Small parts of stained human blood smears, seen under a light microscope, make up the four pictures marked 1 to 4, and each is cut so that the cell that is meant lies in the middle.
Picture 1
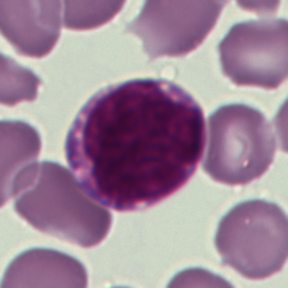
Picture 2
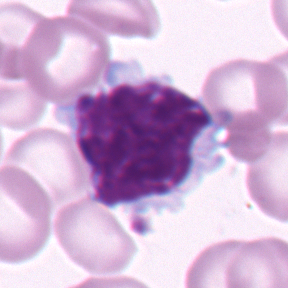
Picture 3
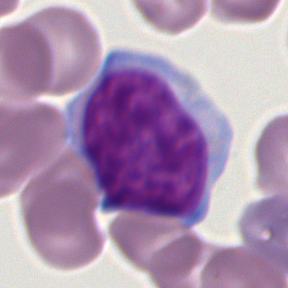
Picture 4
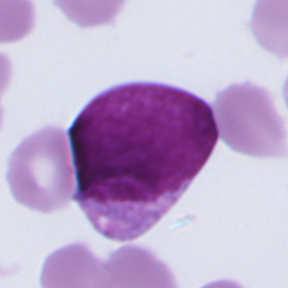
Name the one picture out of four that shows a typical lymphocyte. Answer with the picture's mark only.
2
